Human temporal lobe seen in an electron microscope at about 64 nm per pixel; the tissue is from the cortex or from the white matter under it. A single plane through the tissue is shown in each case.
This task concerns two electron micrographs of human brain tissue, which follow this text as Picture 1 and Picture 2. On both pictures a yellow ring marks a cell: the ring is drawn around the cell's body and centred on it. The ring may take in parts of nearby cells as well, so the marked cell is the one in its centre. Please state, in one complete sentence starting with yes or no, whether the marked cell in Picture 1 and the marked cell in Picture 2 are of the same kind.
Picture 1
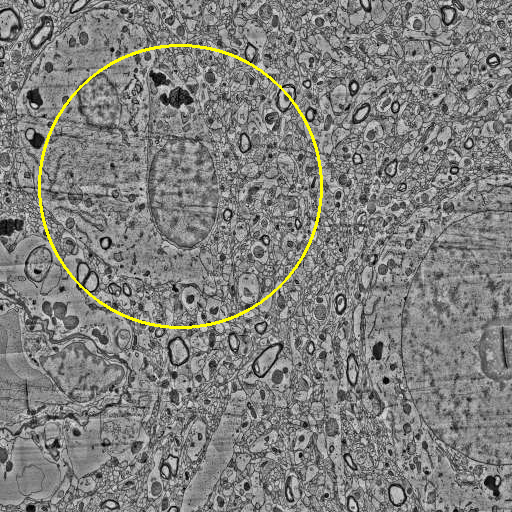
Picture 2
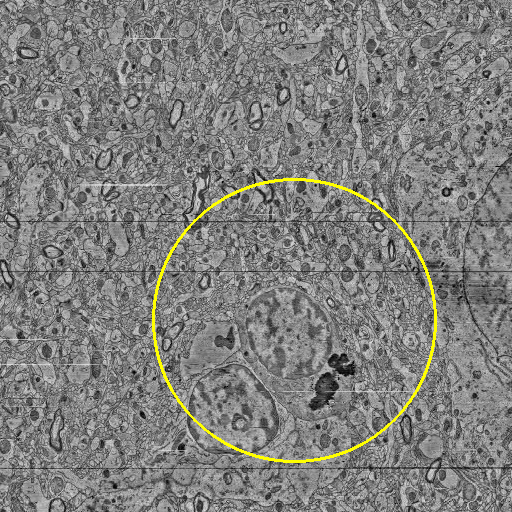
Yes, the marked cells in both pictures are of the same kind.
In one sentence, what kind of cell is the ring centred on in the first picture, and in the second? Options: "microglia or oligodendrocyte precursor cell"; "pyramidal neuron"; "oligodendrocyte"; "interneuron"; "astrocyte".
Each of the two rings surrounds an oligodendrocyte.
